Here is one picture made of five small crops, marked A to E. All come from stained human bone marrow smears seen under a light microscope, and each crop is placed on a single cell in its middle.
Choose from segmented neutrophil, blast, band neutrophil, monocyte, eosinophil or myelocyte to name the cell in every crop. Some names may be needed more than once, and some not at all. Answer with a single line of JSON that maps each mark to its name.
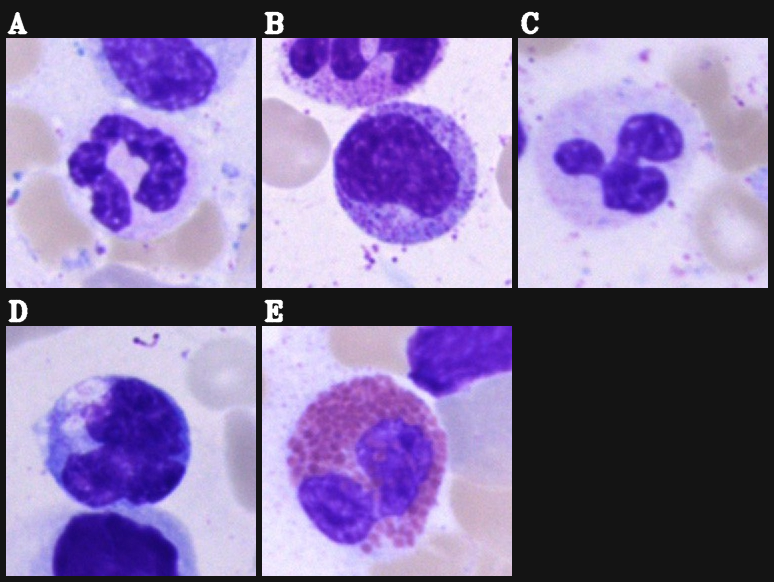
{"A": "segmented neutrophil", "B": "myelocyte", "C": "segmented neutrophil", "D": "monocyte", "E": "eosinophil"}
